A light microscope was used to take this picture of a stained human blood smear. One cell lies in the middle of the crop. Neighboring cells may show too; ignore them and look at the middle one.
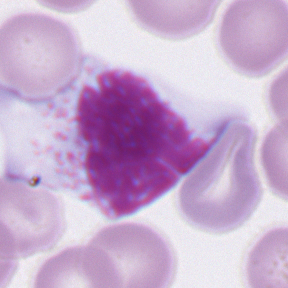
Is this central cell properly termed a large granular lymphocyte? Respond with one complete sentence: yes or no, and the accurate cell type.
Yes, the cell in the central position is a large granular lymphocyte.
